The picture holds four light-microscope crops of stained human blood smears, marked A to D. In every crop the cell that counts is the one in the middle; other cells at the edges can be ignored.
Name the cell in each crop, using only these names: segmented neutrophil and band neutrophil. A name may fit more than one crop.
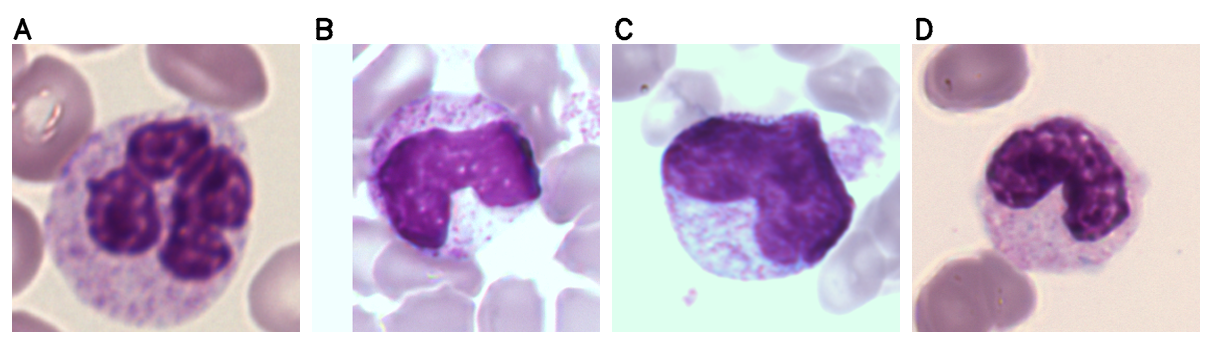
A: segmented neutrophil
B: band neutrophil
C: band neutrophil
D: band neutrophil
